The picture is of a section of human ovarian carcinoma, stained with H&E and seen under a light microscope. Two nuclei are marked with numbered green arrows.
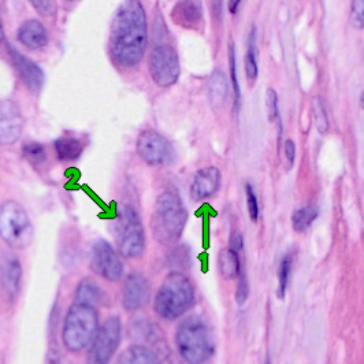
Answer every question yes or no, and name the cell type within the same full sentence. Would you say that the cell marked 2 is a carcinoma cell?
Yes, the cell that goes by number 2 is a carcinoma cell.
